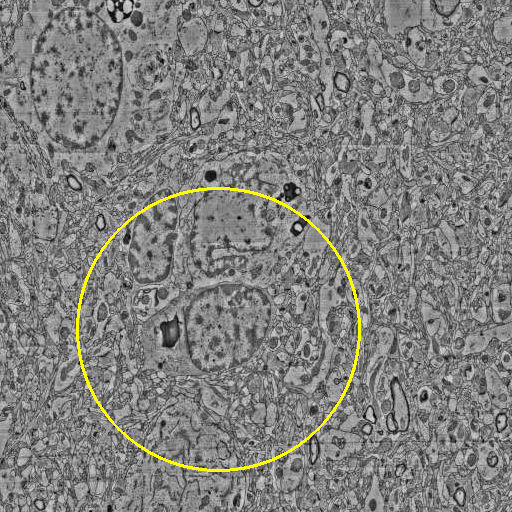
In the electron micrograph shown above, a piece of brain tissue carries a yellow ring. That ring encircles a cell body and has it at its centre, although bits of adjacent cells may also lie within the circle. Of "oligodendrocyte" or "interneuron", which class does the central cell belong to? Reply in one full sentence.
The cell body at the centre of the yellow ring belongs to an oligodendrocyte.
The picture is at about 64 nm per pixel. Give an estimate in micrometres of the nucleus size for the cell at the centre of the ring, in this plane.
The nucleus is approximately 6 micrometers long by 5 micrometers wide in this plane.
